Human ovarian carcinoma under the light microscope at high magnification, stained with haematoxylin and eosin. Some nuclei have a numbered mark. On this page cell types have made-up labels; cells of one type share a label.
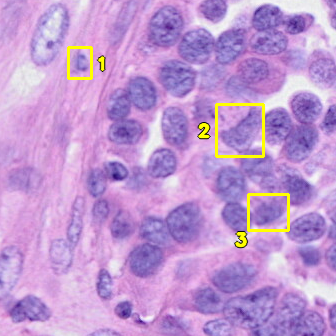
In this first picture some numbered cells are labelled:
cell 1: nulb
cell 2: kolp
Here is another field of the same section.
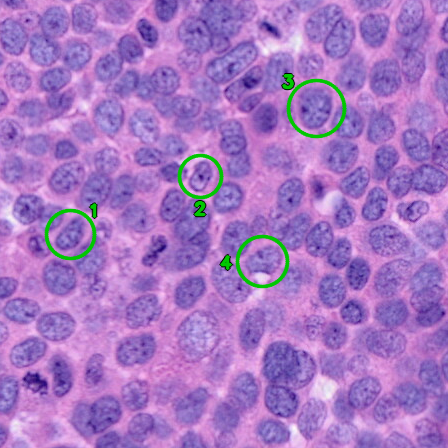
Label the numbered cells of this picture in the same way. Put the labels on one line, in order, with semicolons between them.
kolp; nulb; kolp; kolp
